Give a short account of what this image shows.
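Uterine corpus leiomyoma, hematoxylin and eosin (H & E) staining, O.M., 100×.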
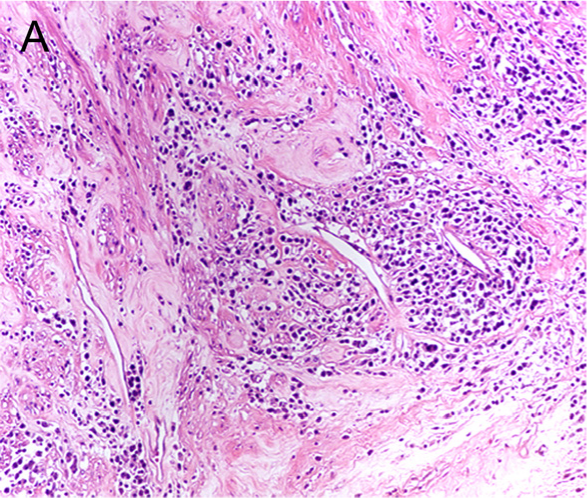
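Many small to medium dark purple nuclei form sheets and streams between pink, fibrillar bundles of muscle and collagen, which are separated and broken up by the infiltrate. Some pink bundles appear hyalinised and pale. Thin-walled vessel spaces run through the field. The infiltrating cells lie singly, without cohesive clusters, and spread along the spaces between the bundles rather than pushing them aside as a solid mass.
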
